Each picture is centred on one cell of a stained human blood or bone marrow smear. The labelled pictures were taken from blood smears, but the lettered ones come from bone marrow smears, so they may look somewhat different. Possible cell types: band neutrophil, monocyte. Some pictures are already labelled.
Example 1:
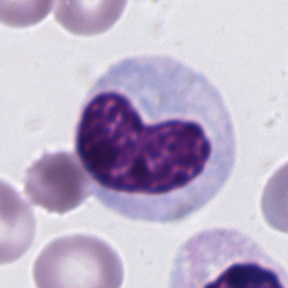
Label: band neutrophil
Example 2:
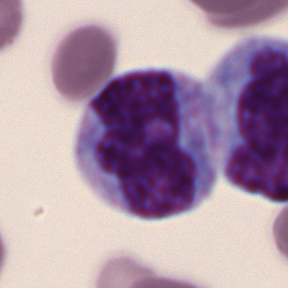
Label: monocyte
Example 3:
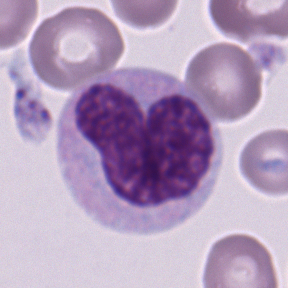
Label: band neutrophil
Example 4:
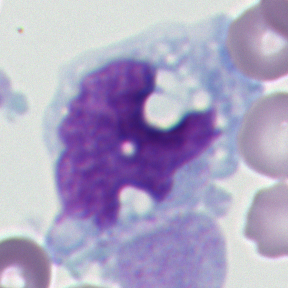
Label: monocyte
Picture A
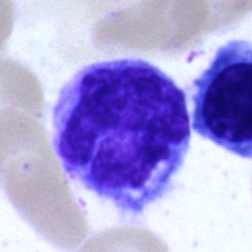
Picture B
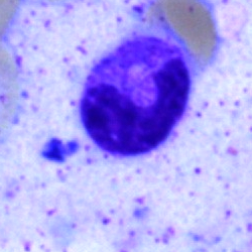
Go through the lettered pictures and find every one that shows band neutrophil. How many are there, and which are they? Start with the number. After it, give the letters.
Count: 1 (B)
